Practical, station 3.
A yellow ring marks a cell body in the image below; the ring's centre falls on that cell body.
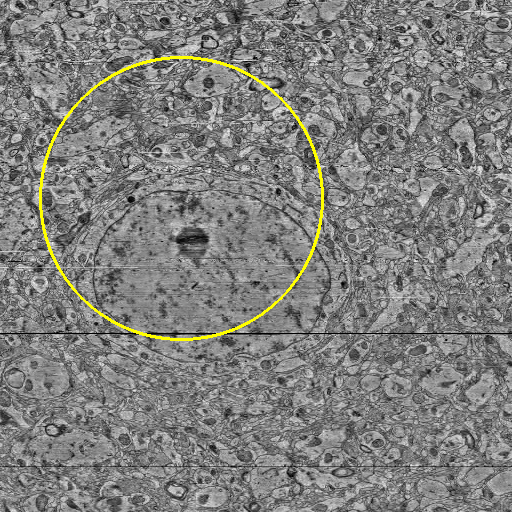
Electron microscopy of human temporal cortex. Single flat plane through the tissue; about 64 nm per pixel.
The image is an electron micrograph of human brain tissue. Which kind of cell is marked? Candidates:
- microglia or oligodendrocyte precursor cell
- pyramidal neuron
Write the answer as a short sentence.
The marked cell body is that of a pyramidal neuron.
